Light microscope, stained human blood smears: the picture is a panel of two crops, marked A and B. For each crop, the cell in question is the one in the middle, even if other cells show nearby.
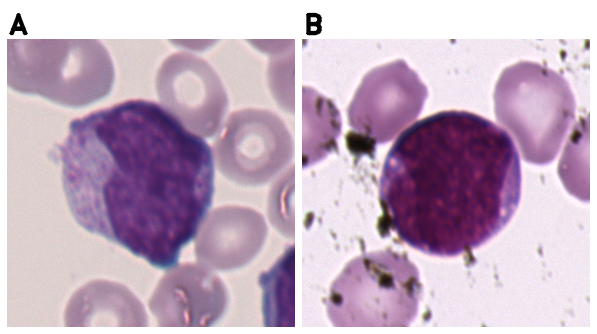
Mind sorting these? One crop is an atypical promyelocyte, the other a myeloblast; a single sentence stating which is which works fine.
Crop B contains a myeloblast, whereas crop A contains an atypical promyelocyte.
